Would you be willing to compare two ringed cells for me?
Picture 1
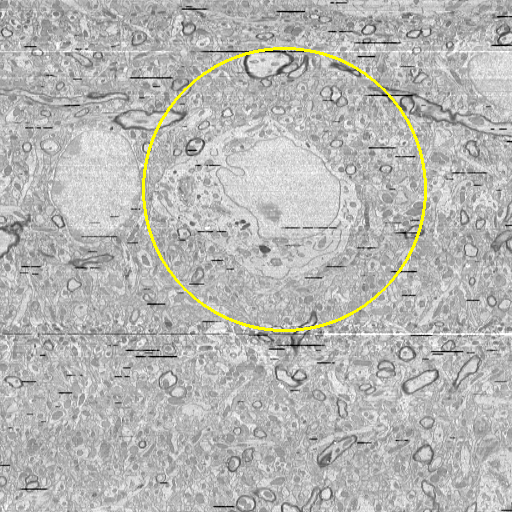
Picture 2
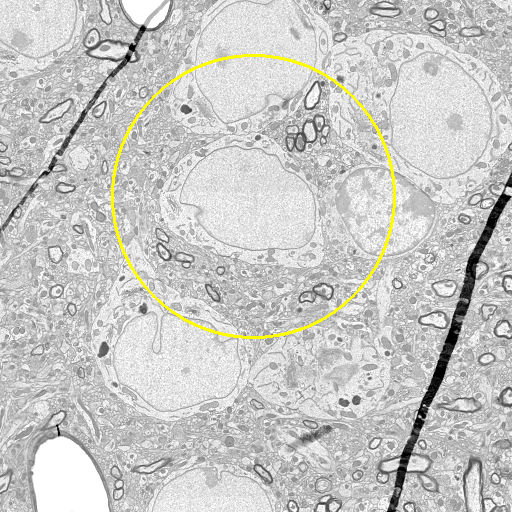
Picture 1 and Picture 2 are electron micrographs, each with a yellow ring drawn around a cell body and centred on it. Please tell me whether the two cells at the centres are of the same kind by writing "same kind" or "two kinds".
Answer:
same kind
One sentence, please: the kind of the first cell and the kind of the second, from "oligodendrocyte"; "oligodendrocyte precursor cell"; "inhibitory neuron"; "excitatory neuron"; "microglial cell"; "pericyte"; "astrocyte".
The ring centre holds an excitatory neuron in each of the two pictures.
